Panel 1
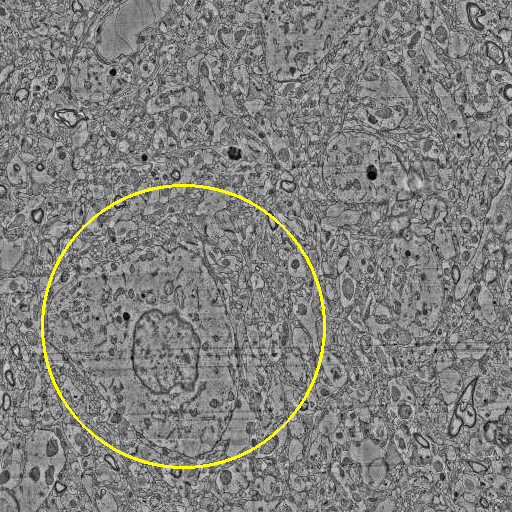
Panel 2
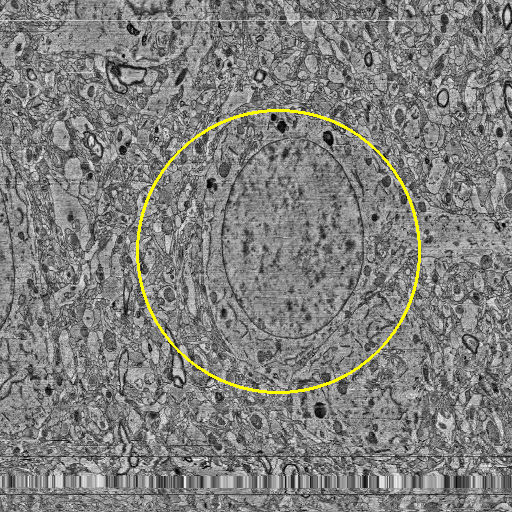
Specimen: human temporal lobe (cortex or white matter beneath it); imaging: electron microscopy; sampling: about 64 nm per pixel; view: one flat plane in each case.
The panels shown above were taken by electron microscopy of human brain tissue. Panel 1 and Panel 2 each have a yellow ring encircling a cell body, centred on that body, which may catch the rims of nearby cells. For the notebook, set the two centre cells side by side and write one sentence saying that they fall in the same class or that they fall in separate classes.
The centred cells of Panel 1 and Panel 2 fall in the same class.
